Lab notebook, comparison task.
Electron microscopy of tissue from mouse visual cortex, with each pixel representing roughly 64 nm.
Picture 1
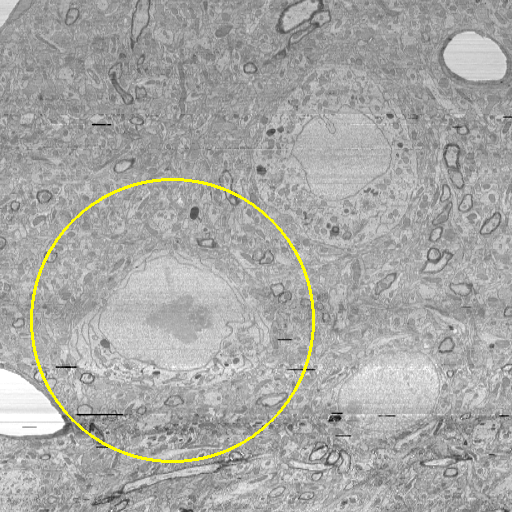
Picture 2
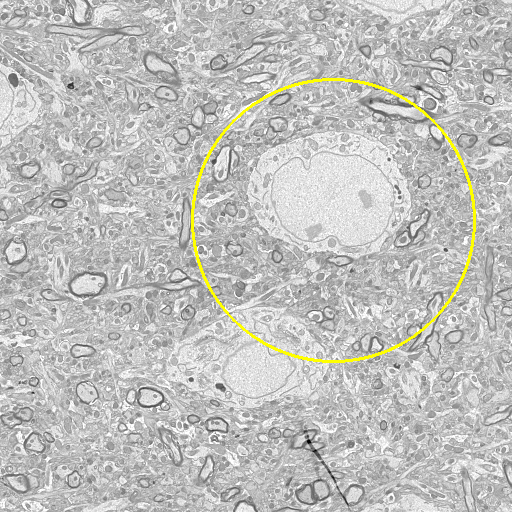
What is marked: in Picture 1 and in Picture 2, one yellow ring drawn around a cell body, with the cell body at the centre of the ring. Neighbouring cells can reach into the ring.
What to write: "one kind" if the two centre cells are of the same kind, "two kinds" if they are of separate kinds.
two kinds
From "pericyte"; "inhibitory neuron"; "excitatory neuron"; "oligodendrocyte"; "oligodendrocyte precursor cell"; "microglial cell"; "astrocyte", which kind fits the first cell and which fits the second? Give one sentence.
The cell marked in the first picture is an inhibitory neuron, and the one marked in the second is an excitatory neuron.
